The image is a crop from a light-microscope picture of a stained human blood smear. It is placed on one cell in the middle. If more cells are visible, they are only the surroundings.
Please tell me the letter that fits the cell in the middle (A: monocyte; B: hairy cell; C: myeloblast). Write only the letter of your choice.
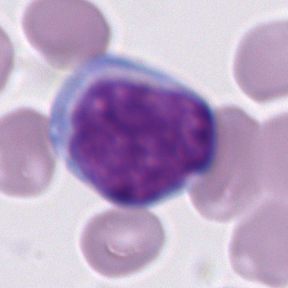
C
